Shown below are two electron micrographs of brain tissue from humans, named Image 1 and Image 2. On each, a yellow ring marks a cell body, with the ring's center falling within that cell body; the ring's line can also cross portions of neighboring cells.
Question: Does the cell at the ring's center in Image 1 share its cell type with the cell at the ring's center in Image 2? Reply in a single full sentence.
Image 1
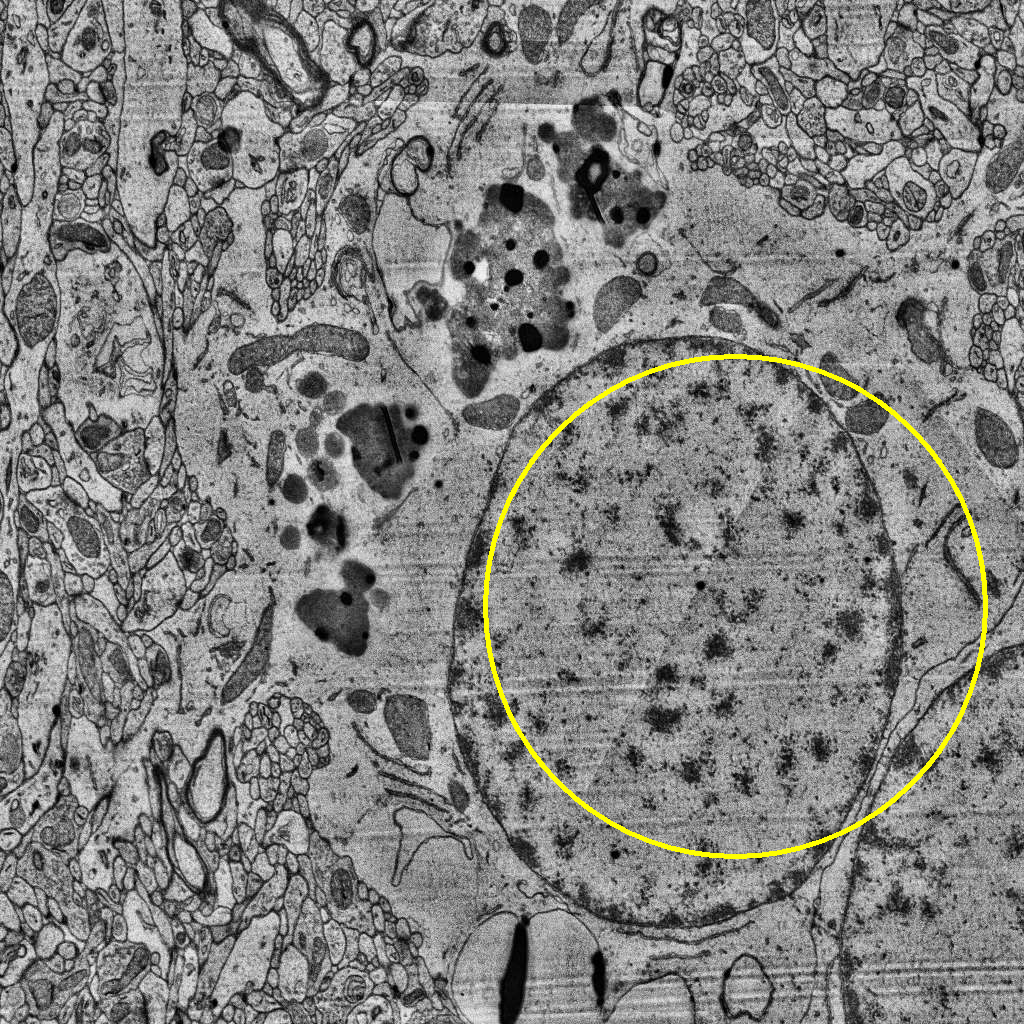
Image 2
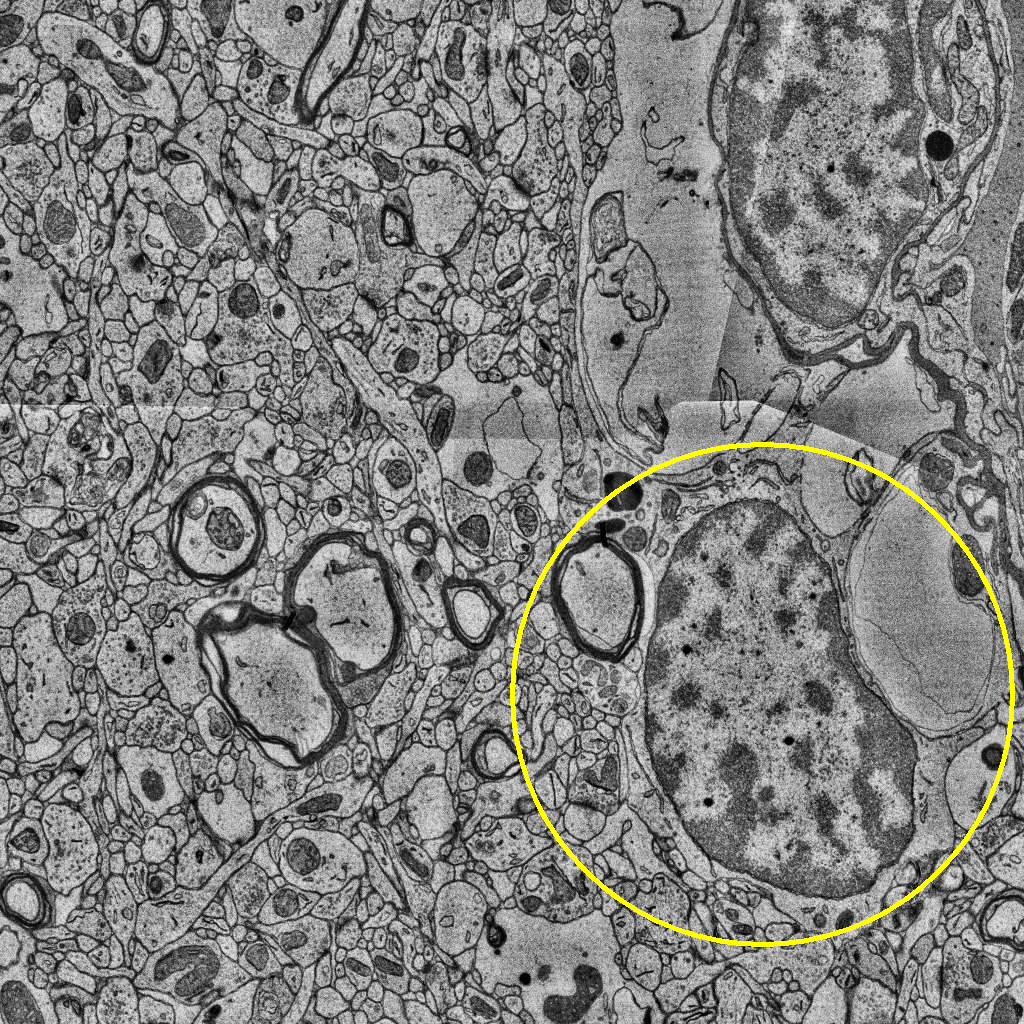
No, the two cells at the ring centers, in Image 1 and Image 2, are of two cell types.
